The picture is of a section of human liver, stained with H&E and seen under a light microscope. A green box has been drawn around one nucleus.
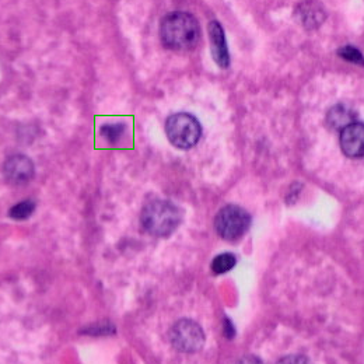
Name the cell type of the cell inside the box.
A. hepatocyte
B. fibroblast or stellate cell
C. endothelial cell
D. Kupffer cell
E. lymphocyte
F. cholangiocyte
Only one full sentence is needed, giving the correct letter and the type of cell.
The accurate option is C, with the cell inside the box being an endothelial cell.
